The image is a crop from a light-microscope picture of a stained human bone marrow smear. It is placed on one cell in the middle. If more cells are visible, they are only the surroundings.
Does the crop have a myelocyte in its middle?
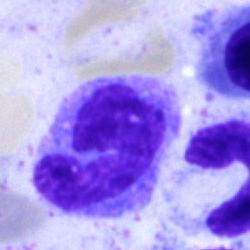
no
